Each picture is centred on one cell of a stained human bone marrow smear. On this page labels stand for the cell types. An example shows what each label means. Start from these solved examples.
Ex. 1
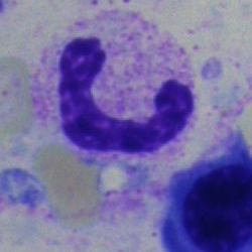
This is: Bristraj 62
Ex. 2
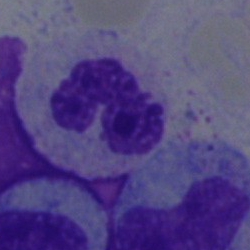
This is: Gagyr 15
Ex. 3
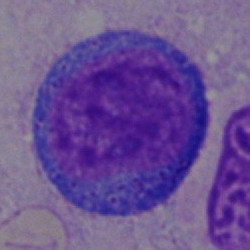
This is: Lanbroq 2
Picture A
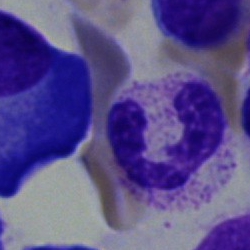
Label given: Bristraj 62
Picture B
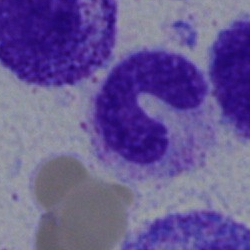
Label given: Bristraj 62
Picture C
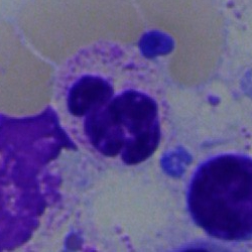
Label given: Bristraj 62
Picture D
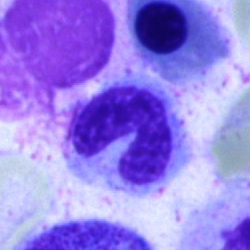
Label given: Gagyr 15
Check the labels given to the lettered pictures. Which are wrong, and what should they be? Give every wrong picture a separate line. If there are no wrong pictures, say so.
B: not Bristraj 62 but Gagyr 15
